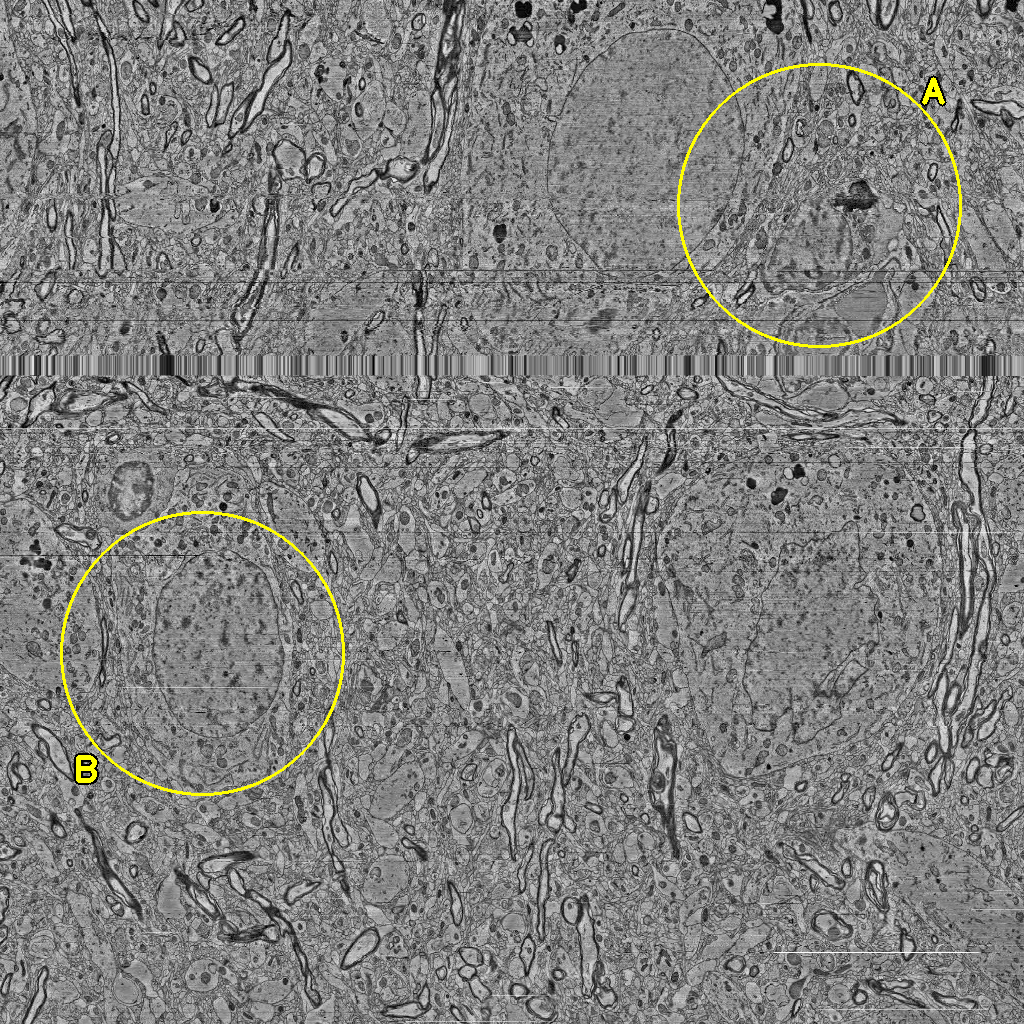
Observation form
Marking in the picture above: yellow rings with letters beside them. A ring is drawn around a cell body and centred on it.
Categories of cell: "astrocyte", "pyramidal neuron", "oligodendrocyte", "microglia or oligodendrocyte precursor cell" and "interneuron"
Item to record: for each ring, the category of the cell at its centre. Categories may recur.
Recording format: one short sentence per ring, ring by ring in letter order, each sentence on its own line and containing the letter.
Ring A is placed on an oligodendrocyte.
Ring B is placed on an interneuron.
